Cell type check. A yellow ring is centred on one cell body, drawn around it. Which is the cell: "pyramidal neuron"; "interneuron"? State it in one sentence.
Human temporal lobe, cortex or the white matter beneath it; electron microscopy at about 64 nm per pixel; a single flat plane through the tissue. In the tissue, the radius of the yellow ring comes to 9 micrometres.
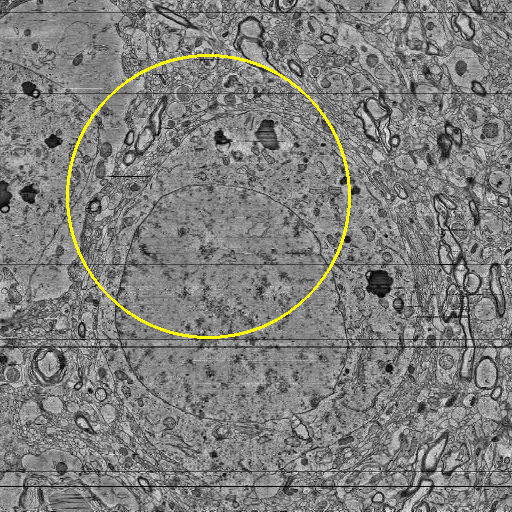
The cell body at the ring's centre belongs to a pyramidal neuron.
